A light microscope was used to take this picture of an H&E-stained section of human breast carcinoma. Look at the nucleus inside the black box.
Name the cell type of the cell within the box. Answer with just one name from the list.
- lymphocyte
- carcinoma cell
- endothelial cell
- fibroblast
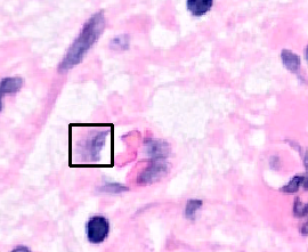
endothelial cell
